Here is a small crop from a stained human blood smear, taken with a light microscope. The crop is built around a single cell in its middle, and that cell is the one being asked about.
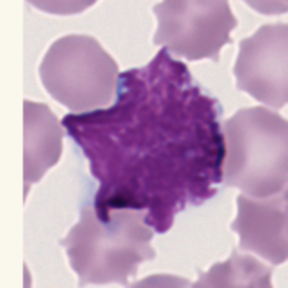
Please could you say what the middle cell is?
smudge cell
